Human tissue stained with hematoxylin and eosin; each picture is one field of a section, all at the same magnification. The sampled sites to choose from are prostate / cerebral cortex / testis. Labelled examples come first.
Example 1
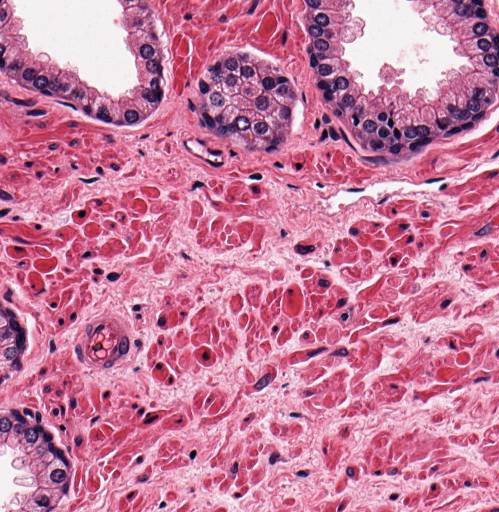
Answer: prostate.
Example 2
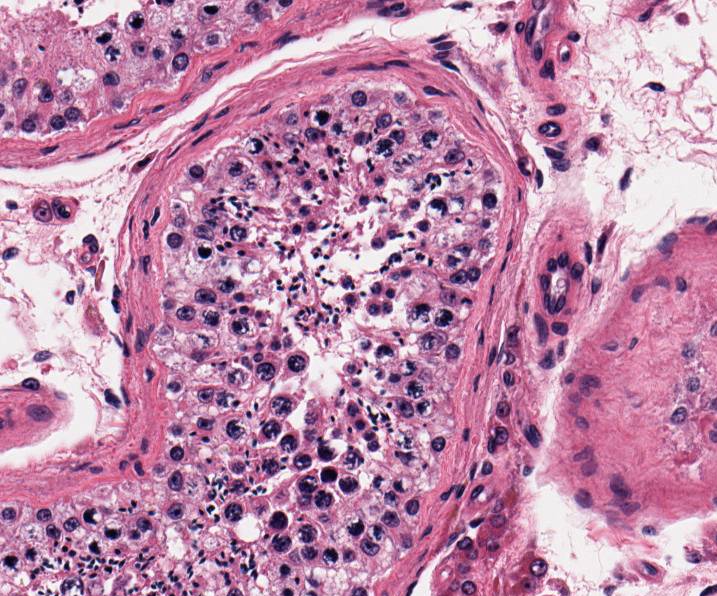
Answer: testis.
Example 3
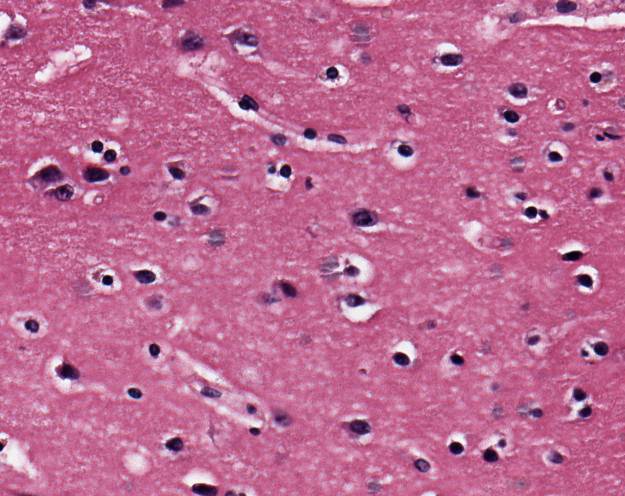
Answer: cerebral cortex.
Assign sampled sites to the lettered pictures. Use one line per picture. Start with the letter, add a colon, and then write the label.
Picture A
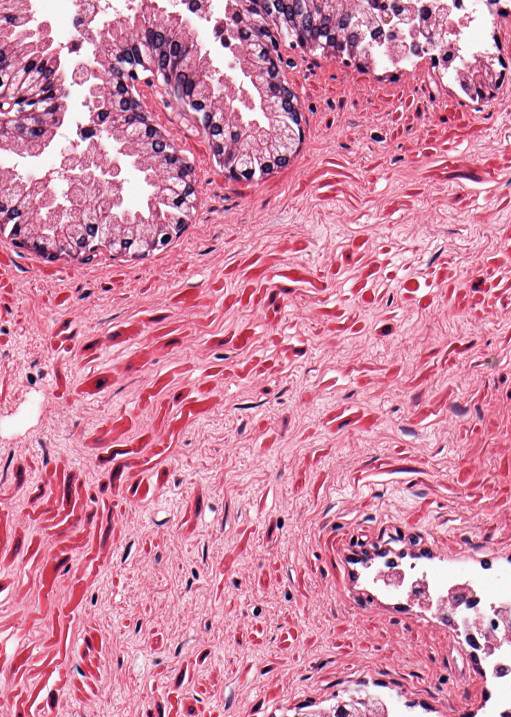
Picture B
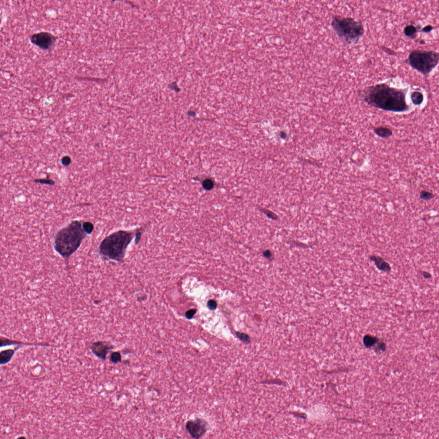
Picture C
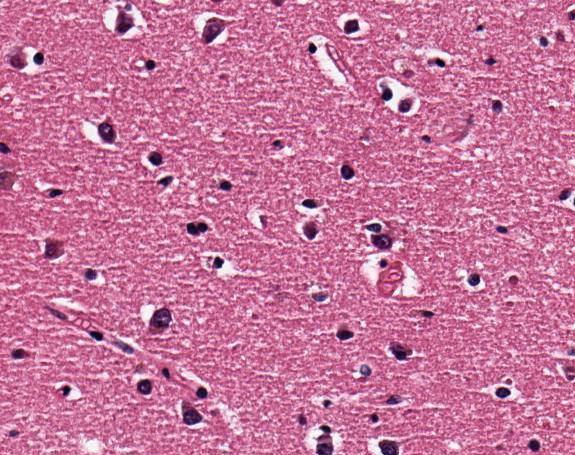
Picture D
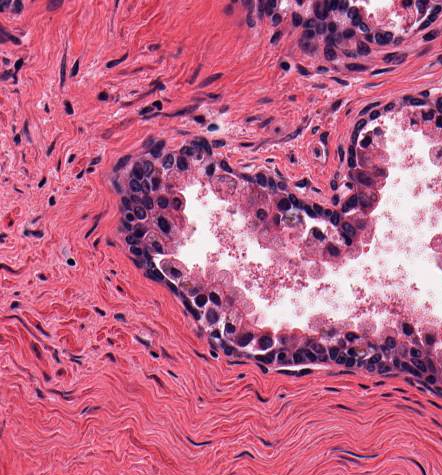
A: prostate.
B: cerebral cortex.
C: cerebral cortex.
D: prostate.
